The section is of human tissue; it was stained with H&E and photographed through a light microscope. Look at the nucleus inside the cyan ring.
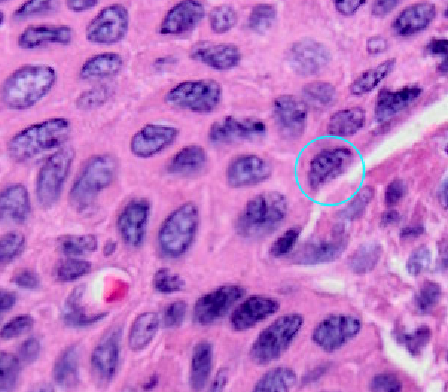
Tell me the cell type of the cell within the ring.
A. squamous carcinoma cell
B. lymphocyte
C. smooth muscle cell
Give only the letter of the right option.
A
